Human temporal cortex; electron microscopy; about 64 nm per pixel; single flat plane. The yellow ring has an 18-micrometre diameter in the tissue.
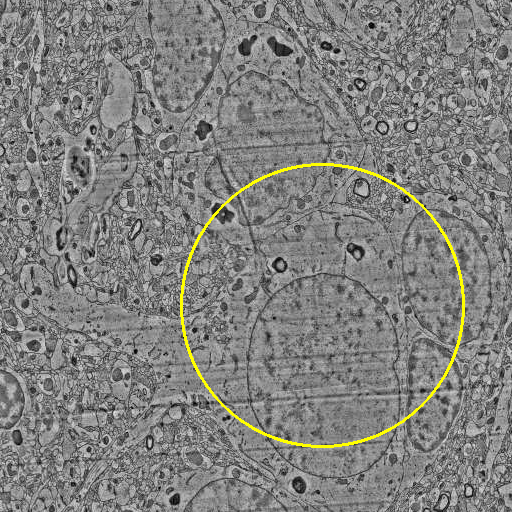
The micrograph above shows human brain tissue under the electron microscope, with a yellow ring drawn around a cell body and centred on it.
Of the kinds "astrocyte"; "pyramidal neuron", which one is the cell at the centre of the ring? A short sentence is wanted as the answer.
The one at the centre of the ring is a pyramidal neuron.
